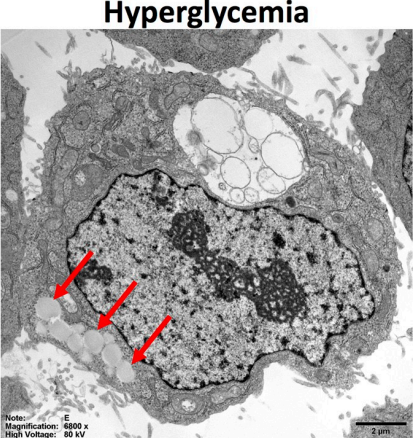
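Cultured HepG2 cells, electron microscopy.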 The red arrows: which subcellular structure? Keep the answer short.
lipid vacuoles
